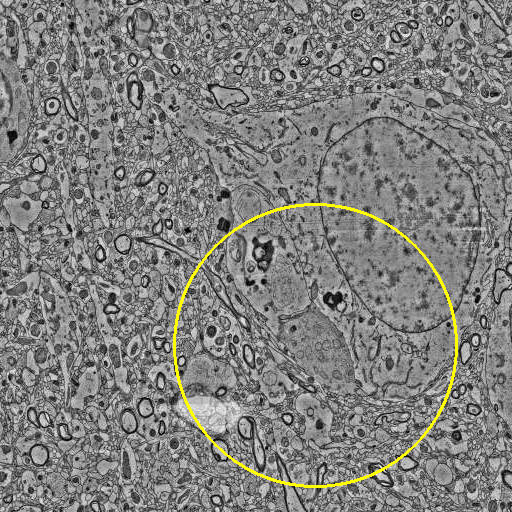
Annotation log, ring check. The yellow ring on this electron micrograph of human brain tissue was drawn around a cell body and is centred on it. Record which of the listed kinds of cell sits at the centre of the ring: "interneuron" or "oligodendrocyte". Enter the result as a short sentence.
The cell at the centre of the ring is an oligodendrocyte.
